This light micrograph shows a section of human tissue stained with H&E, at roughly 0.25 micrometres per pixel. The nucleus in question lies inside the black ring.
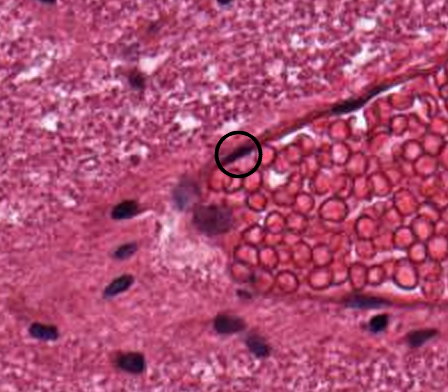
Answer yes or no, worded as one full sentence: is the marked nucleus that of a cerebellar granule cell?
No, the marked nucleus, which belongs to a supporting cell, is not part of a cerebellar granule cell.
